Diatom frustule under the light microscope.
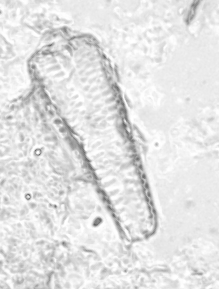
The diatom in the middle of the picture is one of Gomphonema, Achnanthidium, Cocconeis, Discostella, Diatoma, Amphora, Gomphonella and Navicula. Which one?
Gomphonella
